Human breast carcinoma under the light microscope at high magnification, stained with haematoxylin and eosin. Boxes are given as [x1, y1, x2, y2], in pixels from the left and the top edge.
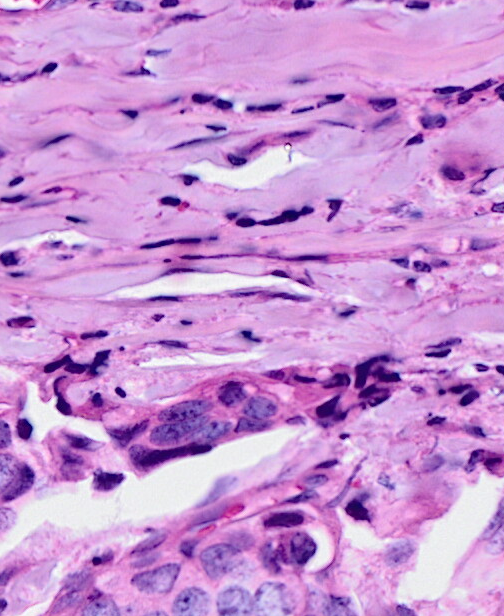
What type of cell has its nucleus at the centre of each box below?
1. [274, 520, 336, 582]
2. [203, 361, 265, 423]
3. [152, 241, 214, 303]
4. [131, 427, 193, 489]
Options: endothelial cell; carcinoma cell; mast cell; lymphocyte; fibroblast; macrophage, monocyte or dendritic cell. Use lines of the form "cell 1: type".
cell 1: carcinoma cell
cell 2: carcinoma cell
cell 3: fibroblast
cell 4: carcinoma cell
